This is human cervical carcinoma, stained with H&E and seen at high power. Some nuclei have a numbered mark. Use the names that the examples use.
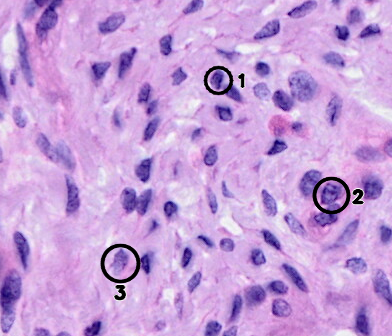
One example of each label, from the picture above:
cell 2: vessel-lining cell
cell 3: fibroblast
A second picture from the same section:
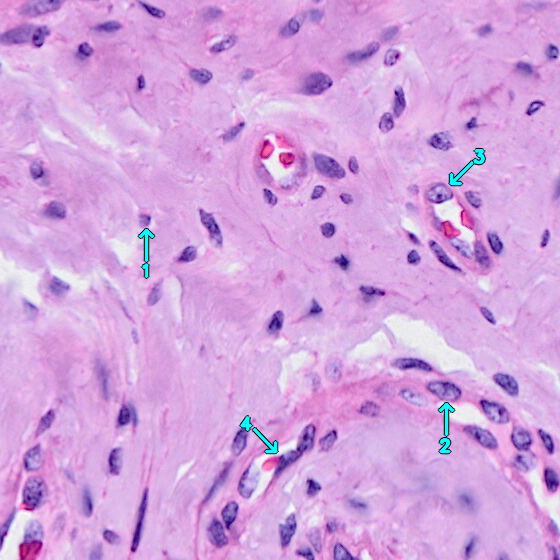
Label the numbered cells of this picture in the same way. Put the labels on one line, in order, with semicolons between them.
fibroblast; vessel-lining cell; vessel-lining cell; vessel-lining cell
